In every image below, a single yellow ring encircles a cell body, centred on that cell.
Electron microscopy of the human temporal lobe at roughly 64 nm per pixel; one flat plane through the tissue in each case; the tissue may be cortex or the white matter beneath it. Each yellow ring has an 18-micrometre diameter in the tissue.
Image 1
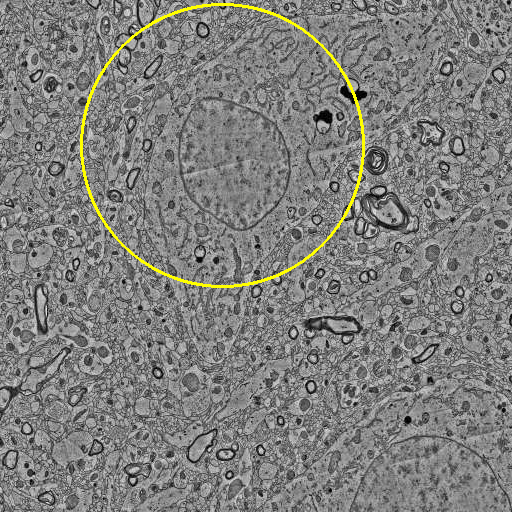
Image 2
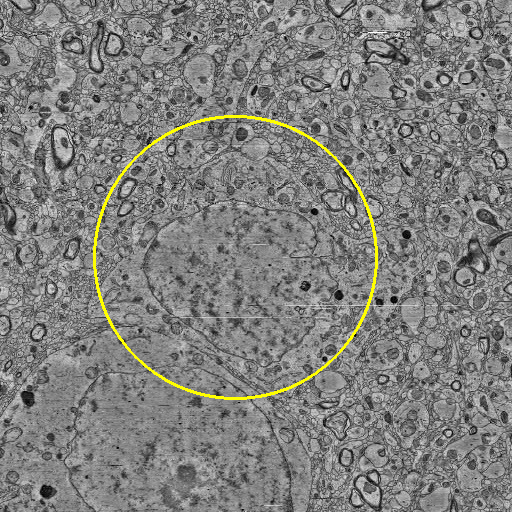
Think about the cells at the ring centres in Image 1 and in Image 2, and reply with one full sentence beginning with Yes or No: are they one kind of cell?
No, the cells centred in the rings of Image 1 and Image 2 are two kinds of cell.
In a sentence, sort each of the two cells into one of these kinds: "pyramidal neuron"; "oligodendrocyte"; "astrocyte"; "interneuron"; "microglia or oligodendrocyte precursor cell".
The first of the two cells is a pyramidal neuron, and the second is an interneuron.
